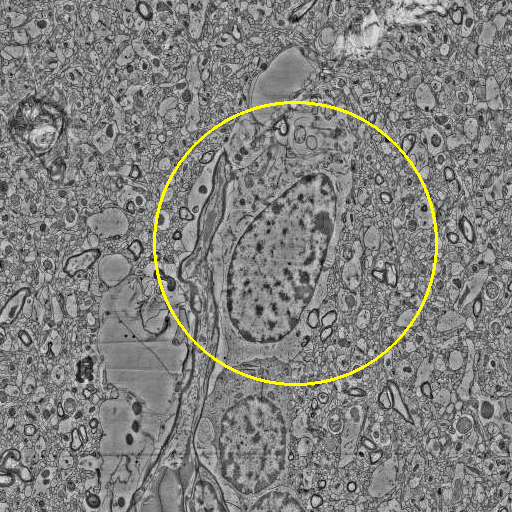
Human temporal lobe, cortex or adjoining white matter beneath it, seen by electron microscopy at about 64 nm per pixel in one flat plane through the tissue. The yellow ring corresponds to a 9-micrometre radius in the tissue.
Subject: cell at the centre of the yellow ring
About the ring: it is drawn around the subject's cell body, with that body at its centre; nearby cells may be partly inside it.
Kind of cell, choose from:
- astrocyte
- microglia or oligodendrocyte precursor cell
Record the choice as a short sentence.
The subject cell is a microglial cell or oligodendrocyte precursor cell.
